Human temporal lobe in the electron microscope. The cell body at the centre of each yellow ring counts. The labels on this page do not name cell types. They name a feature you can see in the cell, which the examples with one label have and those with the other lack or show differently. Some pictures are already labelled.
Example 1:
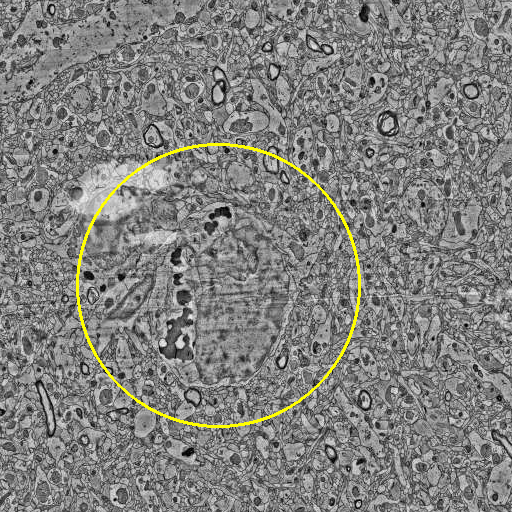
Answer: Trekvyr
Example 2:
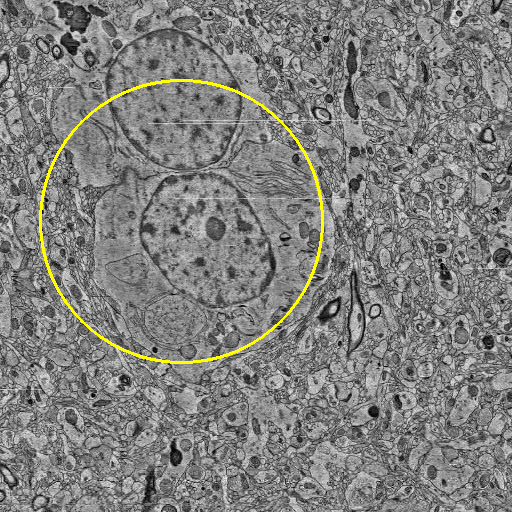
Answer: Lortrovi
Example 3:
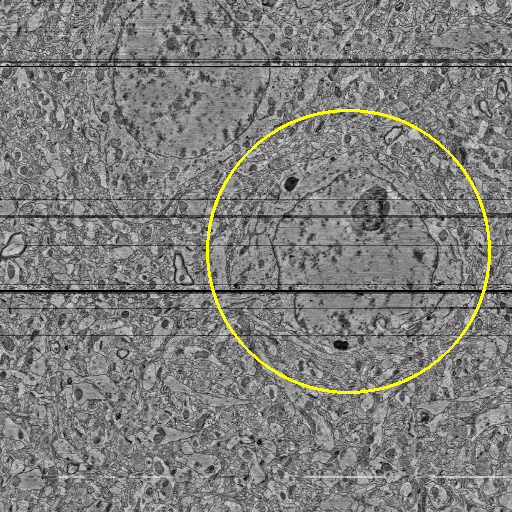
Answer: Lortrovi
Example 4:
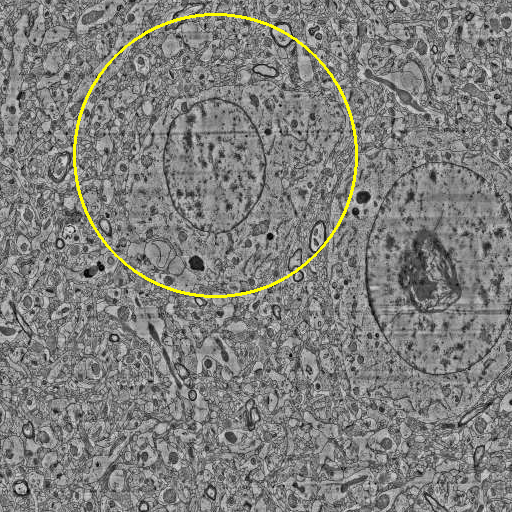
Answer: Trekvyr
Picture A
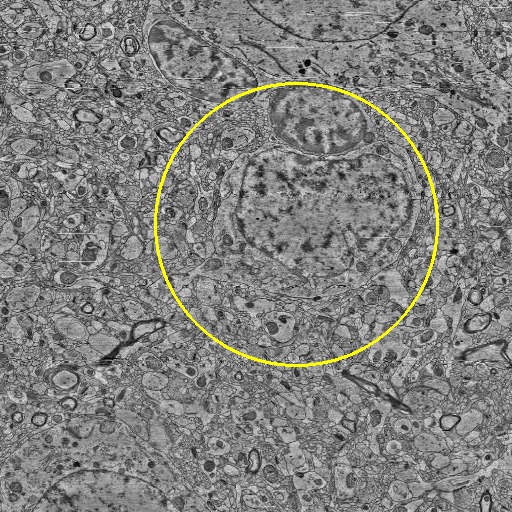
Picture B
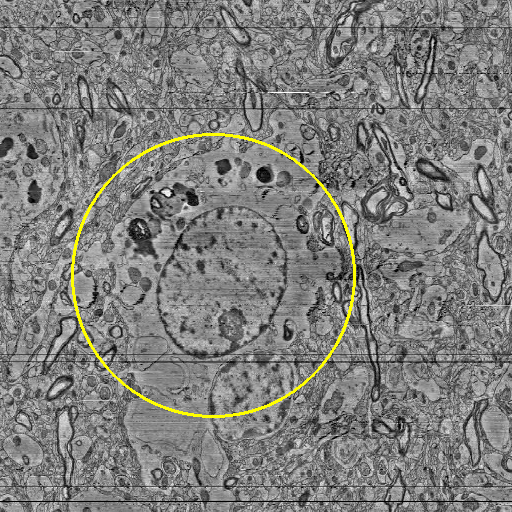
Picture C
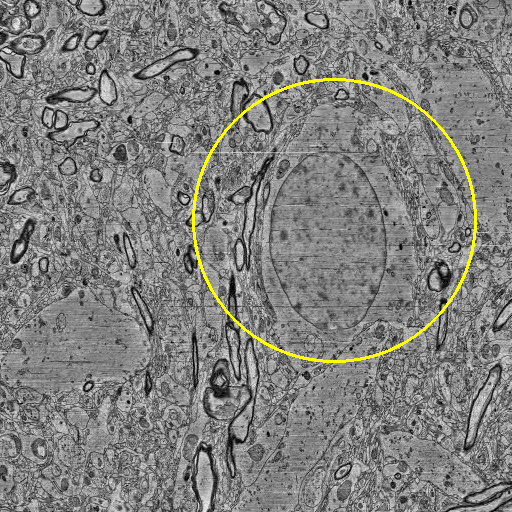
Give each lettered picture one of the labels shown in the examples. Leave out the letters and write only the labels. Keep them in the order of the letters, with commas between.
Trekvyr, Lortrovi, Trekvyr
